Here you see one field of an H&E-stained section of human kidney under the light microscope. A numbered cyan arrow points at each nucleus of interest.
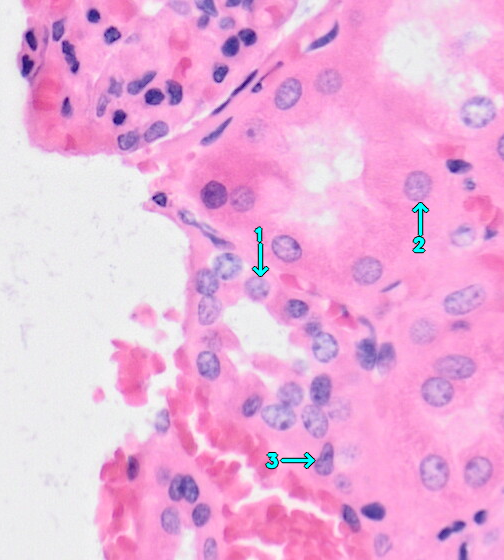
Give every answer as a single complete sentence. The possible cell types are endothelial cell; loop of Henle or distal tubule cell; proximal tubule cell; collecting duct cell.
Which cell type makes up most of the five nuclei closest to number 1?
Collecting duct cells make up most of the five nuclei closest to number 1.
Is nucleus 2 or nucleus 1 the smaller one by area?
Nucleus 1 is the smaller one; nucleus 2 covers about 1.5 times its area.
